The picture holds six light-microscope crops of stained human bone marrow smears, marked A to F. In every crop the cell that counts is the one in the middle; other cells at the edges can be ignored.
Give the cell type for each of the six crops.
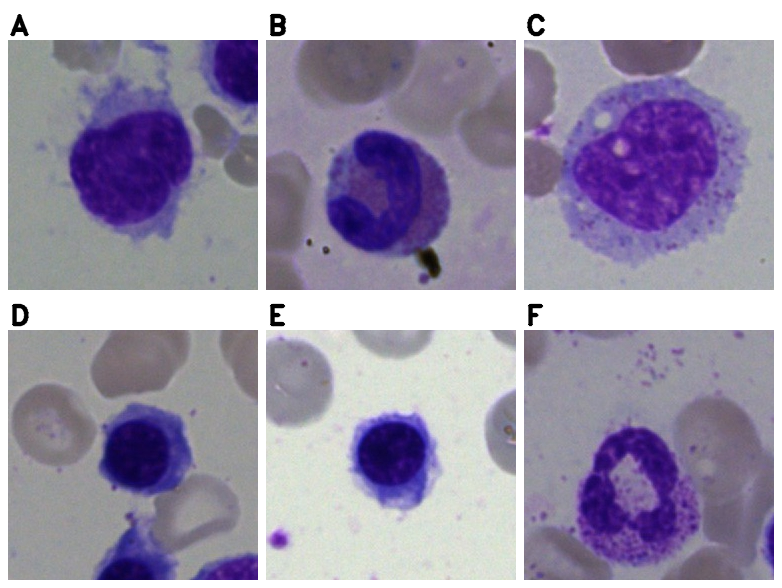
A: hairy cell
B: eosinophil
C: myelocyte
D: erythroblast
E: erythroblast
F: segmented neutrophil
